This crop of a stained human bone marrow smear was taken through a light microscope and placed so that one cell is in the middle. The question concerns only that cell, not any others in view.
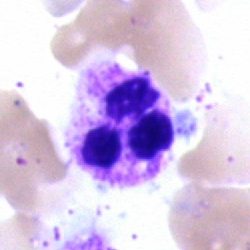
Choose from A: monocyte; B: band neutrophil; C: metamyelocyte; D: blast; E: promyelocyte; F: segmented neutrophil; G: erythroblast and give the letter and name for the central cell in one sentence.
Correctly, option F names the cell in the middle a segmented neutrophil.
